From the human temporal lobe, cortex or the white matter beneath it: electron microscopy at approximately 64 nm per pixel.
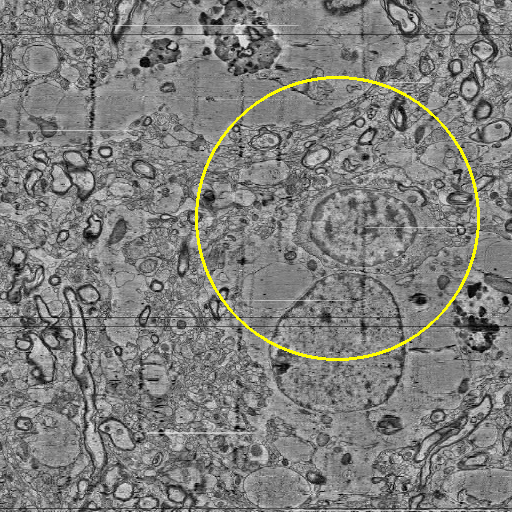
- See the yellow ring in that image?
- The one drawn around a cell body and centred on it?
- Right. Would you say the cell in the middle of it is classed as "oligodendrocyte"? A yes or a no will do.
yes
